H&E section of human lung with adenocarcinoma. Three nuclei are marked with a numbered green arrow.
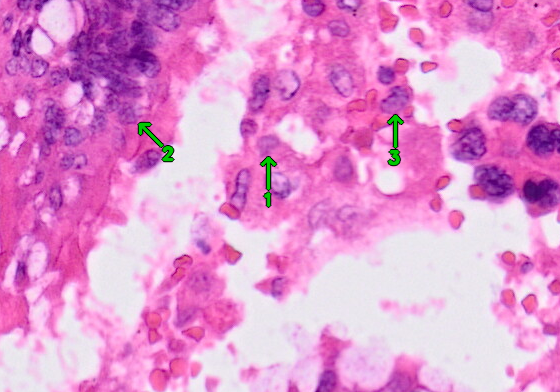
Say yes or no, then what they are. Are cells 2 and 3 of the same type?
No, that's off: cell 2 is a ciliated epithelial cell and cell 3 is a macrophage or monocyte.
